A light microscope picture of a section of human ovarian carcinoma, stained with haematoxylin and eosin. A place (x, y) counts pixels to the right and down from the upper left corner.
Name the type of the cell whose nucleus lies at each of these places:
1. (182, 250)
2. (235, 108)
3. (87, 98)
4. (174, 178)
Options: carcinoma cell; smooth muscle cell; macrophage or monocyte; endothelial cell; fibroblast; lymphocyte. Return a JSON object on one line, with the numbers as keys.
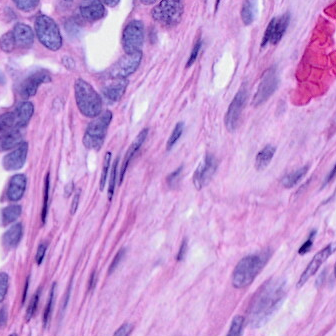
{"1": "fibroblast", "2": "fibroblast", "3": "carcinoma cell", "4": "fibroblast"}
